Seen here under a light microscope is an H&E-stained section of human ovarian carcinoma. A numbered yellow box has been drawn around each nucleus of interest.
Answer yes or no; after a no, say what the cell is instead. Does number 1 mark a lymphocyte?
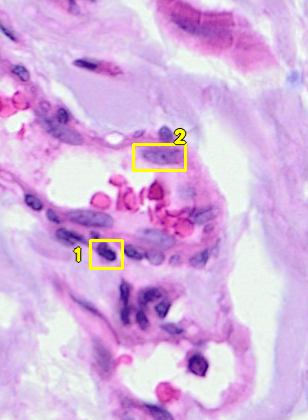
Yes.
